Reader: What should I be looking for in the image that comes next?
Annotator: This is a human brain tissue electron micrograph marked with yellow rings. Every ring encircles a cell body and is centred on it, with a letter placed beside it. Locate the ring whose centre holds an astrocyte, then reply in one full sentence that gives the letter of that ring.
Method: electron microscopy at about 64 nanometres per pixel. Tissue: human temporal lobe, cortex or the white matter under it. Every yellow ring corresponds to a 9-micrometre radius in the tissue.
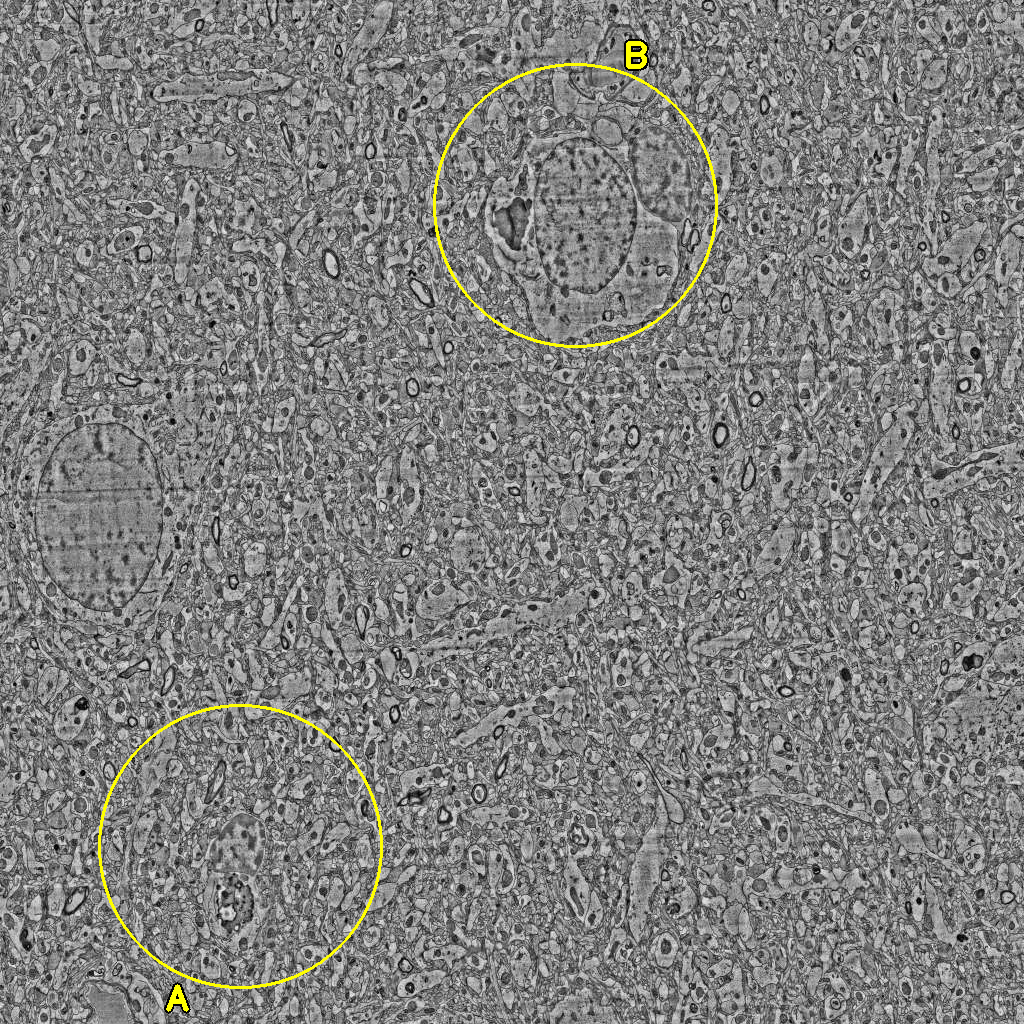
The ring centred on the cell asked for is the one labelled B.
